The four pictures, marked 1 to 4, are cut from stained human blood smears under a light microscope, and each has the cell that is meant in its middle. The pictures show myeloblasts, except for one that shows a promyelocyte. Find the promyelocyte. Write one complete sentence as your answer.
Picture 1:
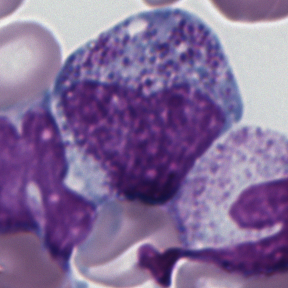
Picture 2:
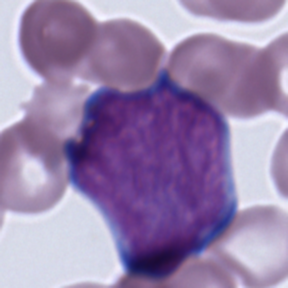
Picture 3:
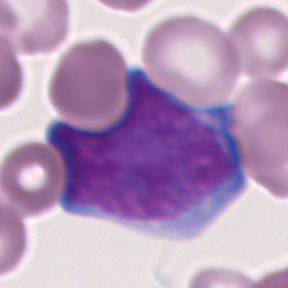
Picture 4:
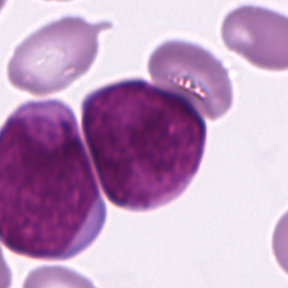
The cell in picture 1 is the promyelocyte.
